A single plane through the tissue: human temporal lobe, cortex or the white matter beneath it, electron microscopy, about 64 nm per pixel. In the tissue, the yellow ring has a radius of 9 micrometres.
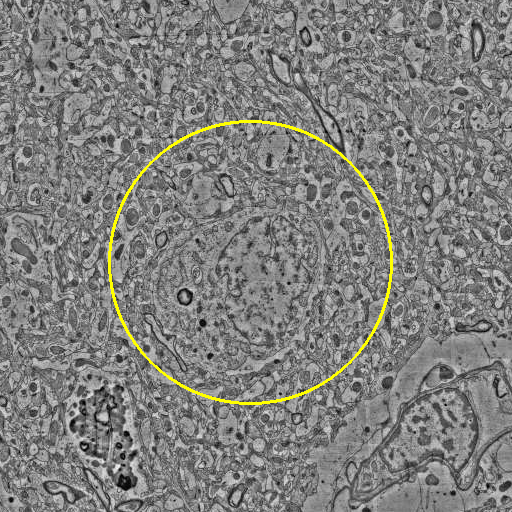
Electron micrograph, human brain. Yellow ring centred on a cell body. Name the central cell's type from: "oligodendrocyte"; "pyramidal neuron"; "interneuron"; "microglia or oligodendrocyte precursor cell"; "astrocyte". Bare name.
interneuron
